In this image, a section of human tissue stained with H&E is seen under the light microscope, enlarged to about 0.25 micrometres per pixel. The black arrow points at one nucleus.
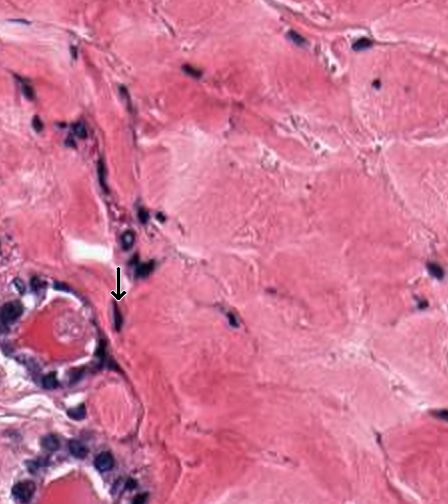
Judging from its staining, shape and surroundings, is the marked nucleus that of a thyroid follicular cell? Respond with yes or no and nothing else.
no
